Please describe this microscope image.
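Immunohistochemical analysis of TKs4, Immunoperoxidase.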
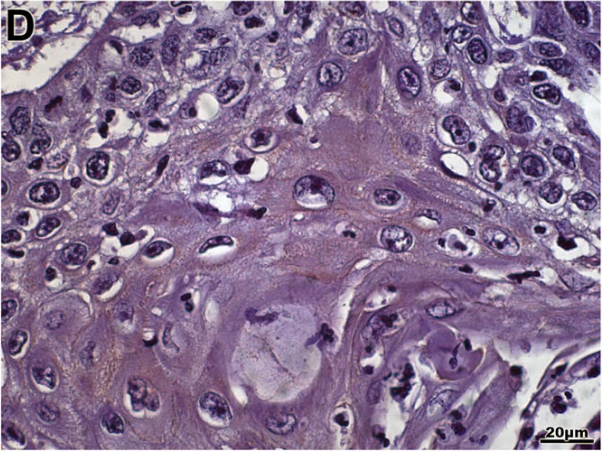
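These are tumour parenchyma cells forming a solid epithelial nest. The cells are large and polygonal with abundant lilac to faintly brownish cytoplasm and enlarged, irregular vesicular nuclei, many with prominent nucleoli. Nuclear size and shape vary considerably from cell to cell. Toward the lower part, cells with more glassy cytoplasm surround a pale rounded mass, and small dark nuclei of stromal or inflammatory cells lie at the edges.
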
